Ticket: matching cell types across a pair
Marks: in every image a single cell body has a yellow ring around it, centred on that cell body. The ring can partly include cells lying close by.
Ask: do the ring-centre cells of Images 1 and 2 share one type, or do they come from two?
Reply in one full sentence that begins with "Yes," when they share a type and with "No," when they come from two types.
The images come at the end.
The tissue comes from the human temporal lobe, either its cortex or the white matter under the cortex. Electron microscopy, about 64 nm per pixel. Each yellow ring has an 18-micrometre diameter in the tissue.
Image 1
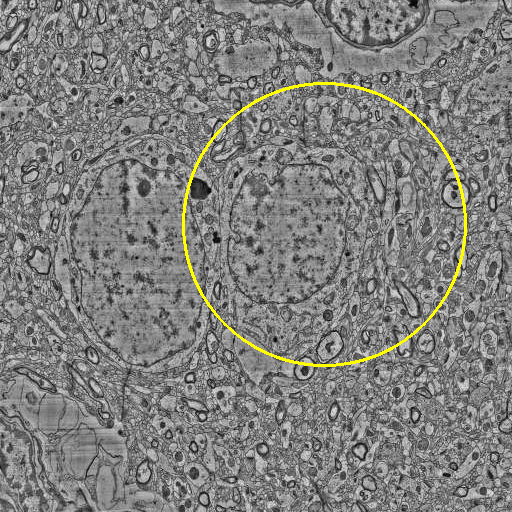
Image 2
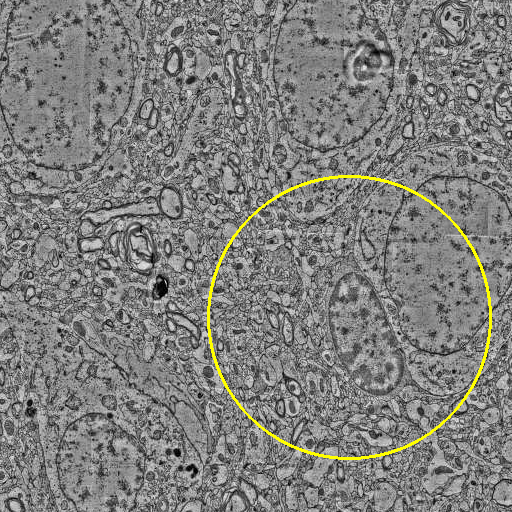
No, the cells in the centres of the rings in Image 1 and Image 2 come from two types.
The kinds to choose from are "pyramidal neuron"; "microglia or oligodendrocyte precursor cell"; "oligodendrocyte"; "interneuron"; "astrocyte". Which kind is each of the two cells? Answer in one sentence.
Of the two, the first cell is a pyramidal neuron and the second cell is an oligodendrocyte.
